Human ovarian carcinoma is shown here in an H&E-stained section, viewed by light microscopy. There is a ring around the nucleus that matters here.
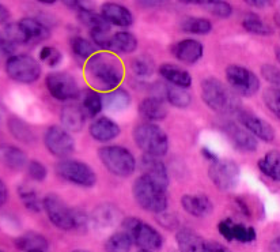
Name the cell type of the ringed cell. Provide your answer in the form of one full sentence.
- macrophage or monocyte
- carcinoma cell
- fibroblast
In cell-type terms, the ringed cell is a carcinoma cell.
